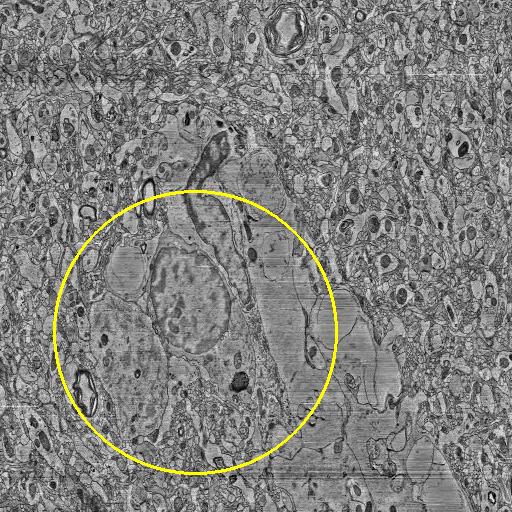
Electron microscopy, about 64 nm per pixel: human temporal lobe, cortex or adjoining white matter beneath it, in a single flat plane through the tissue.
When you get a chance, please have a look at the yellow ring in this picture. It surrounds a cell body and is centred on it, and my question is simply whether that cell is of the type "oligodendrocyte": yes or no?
Yes, the cell is of that type.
